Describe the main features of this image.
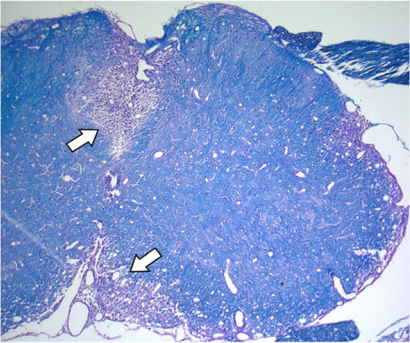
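A cross-section of spinal cord stained mostly blue, with a midline cleft at the top and scattered small vessels. Near the edge, the areas marked by arrows are pale, loosened and full of small holes, with a purplish tinge instead of the dense blue elsewhere.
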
